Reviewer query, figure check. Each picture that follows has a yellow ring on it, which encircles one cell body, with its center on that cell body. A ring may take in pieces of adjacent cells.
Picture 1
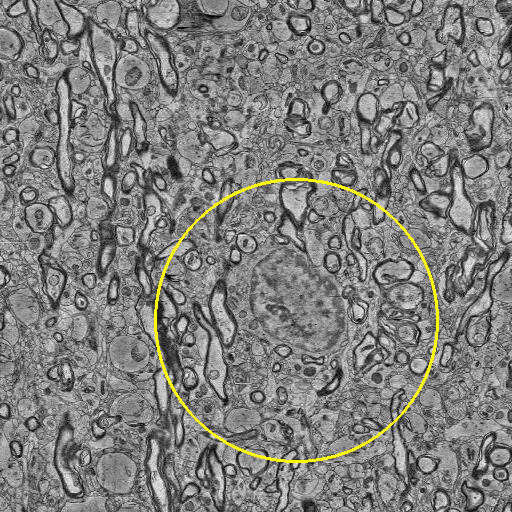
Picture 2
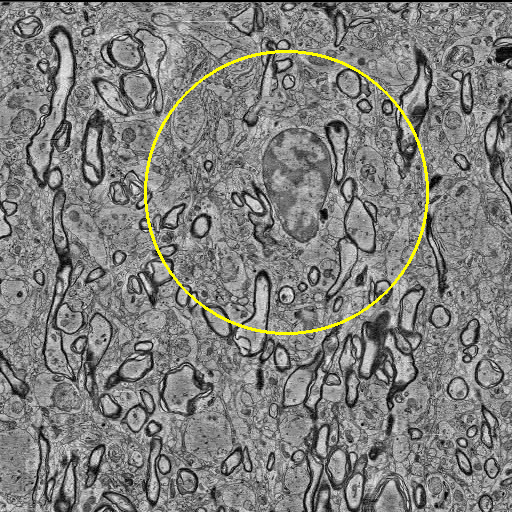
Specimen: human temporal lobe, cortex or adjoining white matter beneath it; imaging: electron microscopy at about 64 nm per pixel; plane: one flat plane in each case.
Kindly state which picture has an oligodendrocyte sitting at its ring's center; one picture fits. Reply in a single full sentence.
In picture 1, the cell at the center of the ring is the requested one.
